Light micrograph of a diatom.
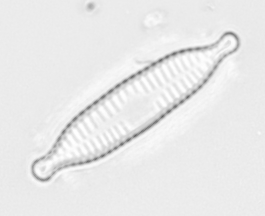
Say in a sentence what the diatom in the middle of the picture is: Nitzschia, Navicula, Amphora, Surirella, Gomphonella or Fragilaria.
This is Fragilaria.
